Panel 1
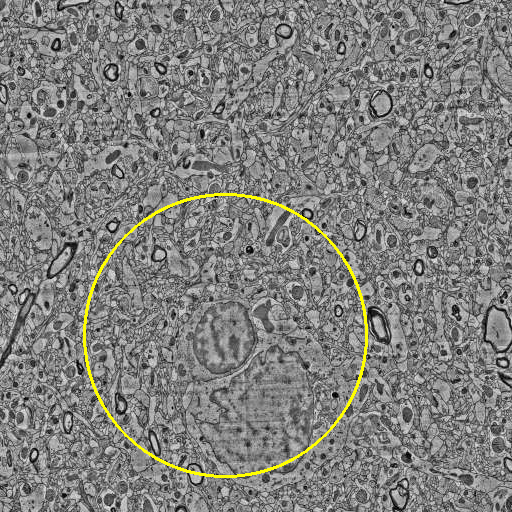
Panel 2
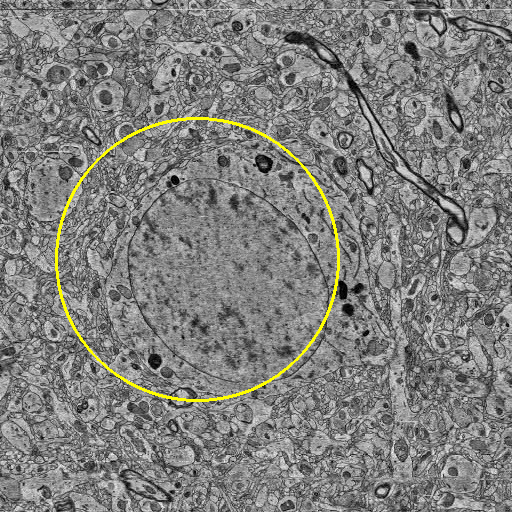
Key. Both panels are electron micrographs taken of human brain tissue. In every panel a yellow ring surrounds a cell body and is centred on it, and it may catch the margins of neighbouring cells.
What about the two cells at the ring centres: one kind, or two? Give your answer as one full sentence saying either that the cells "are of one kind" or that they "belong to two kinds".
Across Panels 1 and 2, the two cells at the ring centres belong to two kinds.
